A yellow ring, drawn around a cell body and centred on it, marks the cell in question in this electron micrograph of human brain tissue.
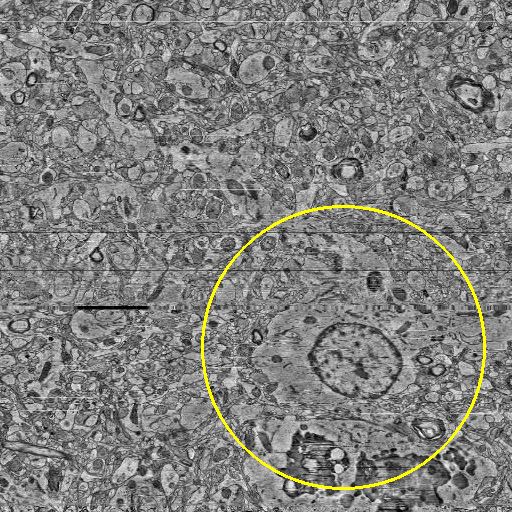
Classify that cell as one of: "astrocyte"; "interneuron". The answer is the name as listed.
astrocyte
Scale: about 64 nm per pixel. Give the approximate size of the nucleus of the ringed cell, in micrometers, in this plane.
About 6 micrometres by about 5 micrometres in this plane.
